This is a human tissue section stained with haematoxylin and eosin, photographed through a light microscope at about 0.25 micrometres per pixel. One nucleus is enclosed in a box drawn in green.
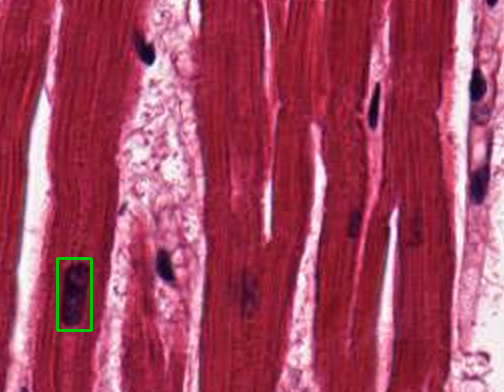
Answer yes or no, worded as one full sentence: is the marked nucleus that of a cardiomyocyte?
Yes, the marked nucleus is one that belongs to a cardiomyocyte.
